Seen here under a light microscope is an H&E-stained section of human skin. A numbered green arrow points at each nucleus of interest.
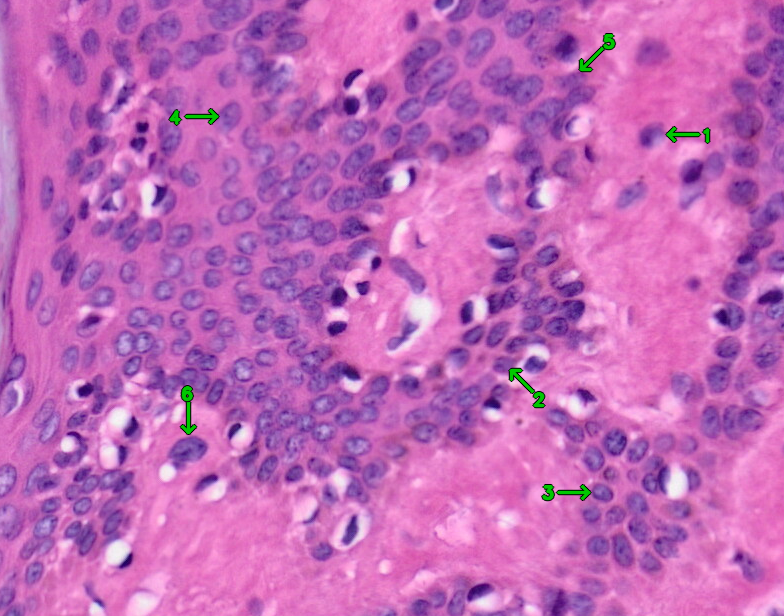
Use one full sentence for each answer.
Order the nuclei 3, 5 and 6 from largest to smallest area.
Going from the biggest nucleus down to the smallest gives 6, 5, 3.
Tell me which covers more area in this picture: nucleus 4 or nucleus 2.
At about 2 times the area of nucleus 2, nucleus 4 is the larger of the two.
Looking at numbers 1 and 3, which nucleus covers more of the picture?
Of the two, number 1 is bigger and takes up about 1.5 times the area of number 3.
